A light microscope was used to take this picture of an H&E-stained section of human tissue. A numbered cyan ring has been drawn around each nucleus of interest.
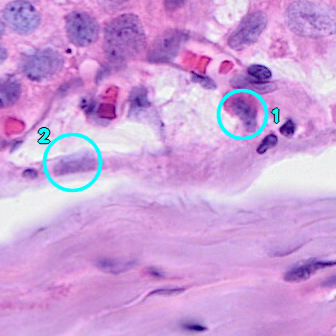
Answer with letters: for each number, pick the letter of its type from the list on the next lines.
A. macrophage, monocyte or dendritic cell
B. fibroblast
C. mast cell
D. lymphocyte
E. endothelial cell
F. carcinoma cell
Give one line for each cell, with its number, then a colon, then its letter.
1: C
2: B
